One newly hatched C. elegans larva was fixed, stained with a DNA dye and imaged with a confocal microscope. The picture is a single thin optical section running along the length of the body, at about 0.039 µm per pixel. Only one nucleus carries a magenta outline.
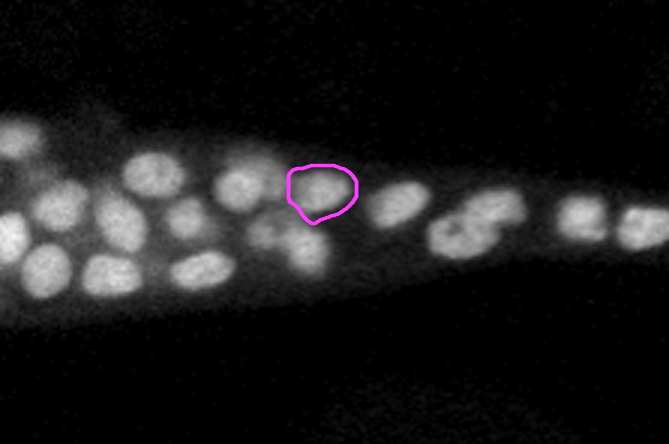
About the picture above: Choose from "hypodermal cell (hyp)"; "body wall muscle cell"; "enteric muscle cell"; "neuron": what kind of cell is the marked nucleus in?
hypodermal cell (hyp)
